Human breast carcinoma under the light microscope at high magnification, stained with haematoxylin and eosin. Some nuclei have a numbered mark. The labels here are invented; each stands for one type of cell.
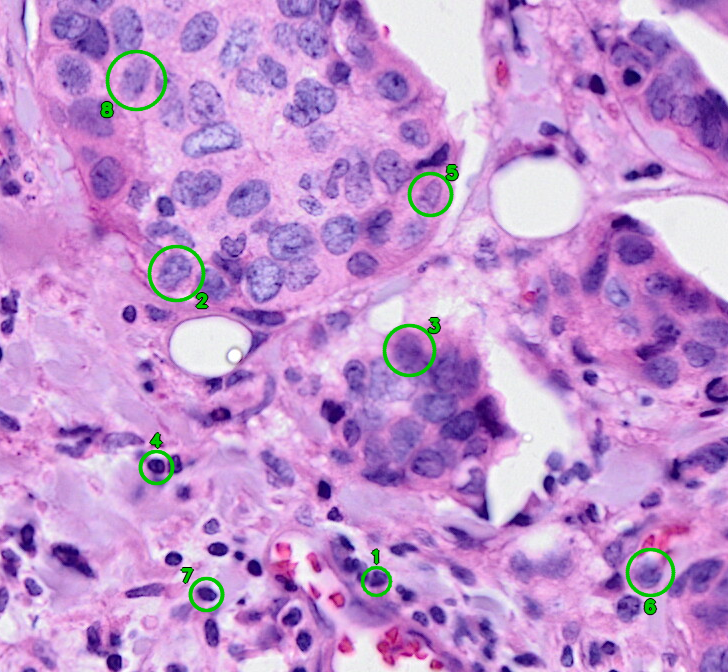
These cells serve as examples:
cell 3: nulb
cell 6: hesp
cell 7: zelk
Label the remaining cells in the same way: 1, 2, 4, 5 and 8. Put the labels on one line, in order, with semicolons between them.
zelk; nulb; zelk; nulb; nulb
